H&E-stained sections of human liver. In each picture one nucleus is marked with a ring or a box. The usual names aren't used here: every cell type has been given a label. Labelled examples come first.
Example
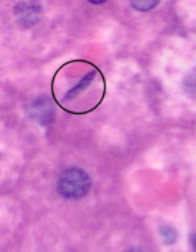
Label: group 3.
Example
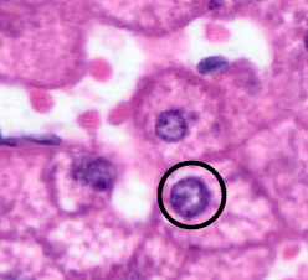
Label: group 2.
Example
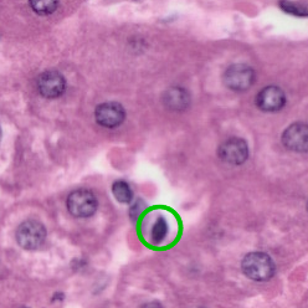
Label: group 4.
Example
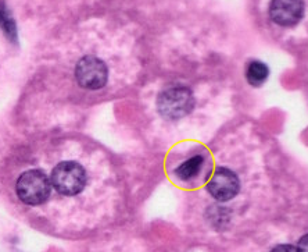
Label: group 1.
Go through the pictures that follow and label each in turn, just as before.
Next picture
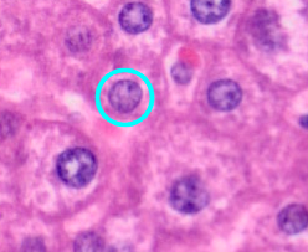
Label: group 2.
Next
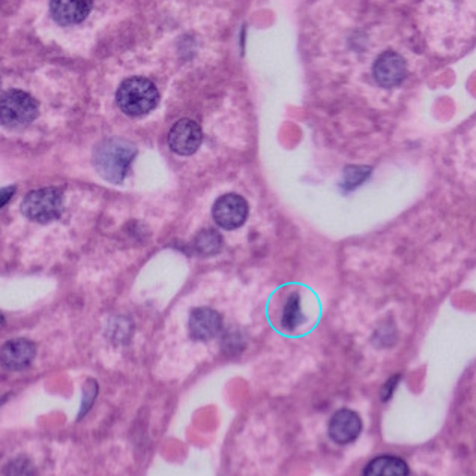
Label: group 3.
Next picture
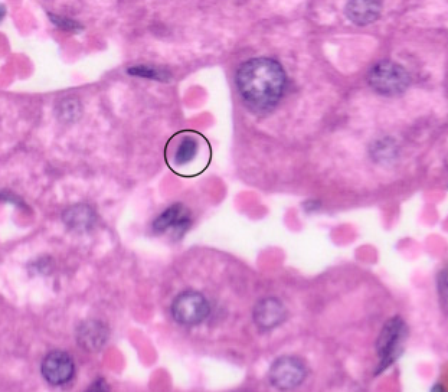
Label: group 4.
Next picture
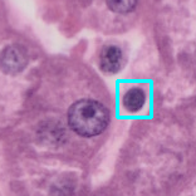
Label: group 4.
